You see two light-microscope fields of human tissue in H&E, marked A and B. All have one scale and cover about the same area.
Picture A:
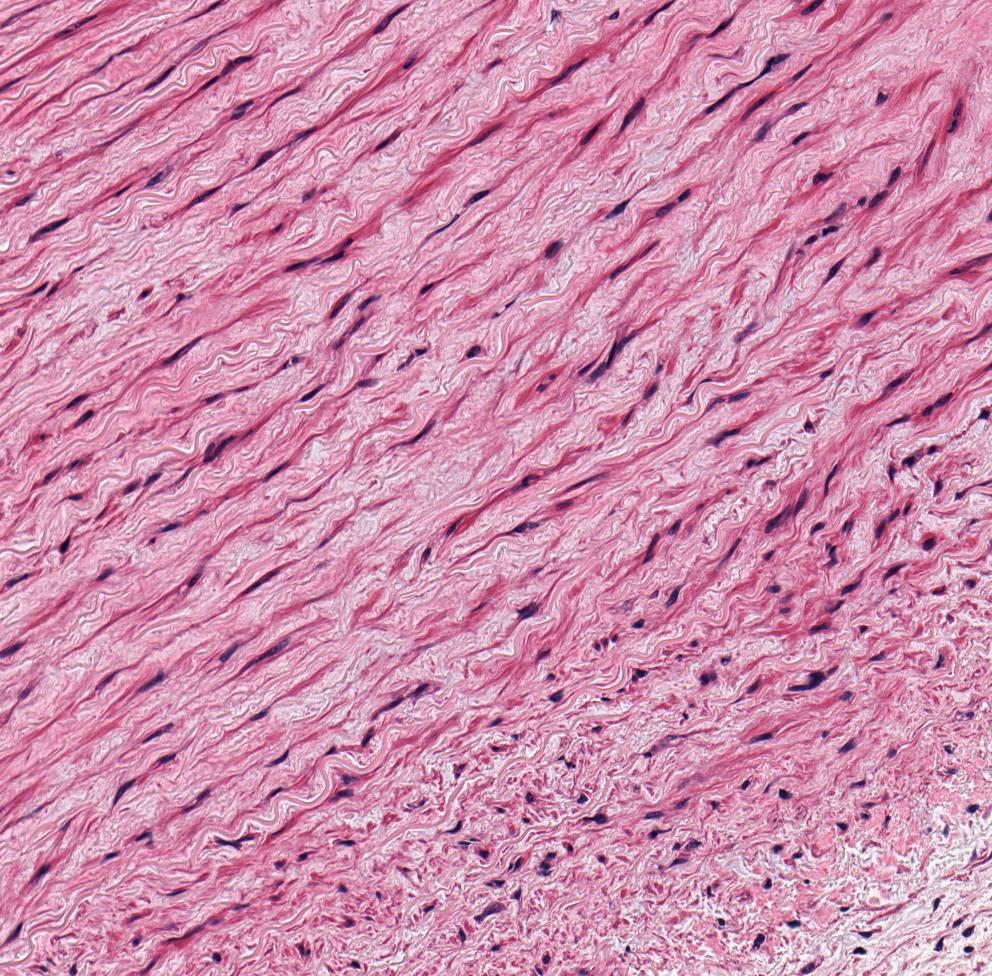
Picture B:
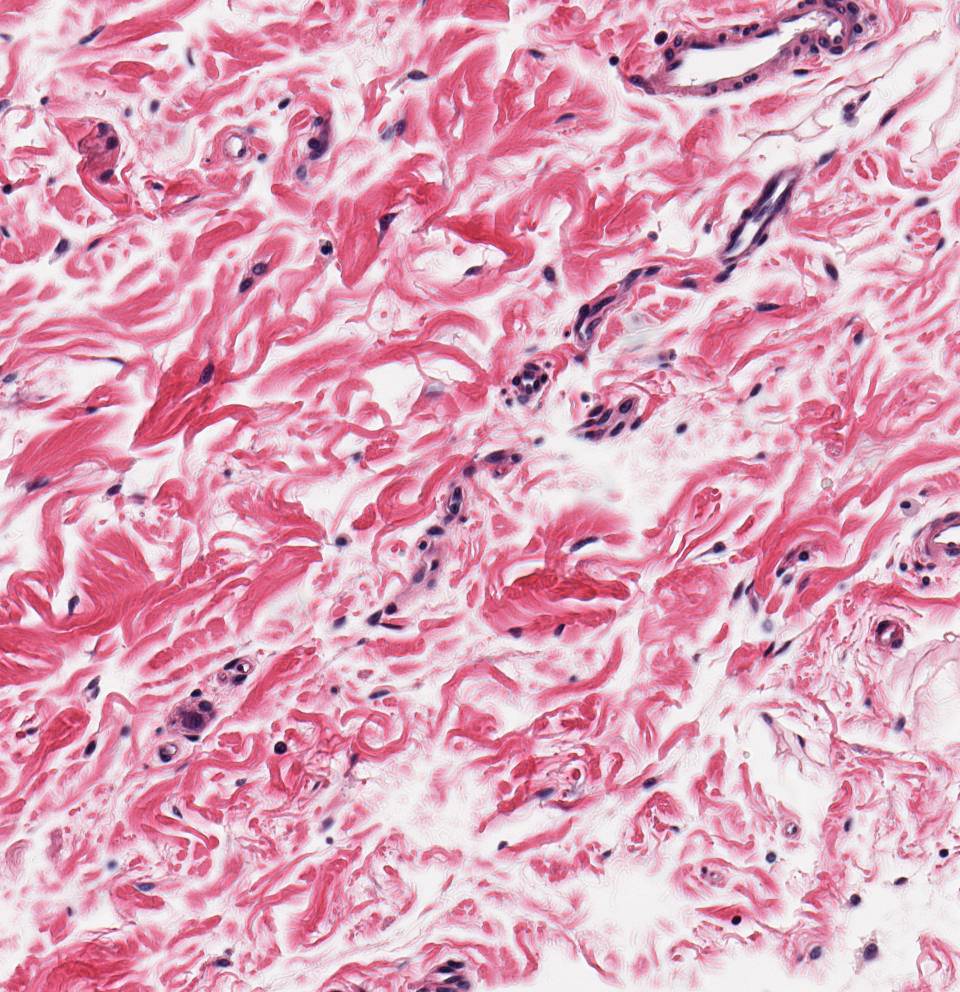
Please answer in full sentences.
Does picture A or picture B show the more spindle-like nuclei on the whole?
On the whole the nuclei of picture A are more drawn out than those of picture B.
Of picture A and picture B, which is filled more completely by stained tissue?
Unstained space takes up less of picture A than of picture B.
